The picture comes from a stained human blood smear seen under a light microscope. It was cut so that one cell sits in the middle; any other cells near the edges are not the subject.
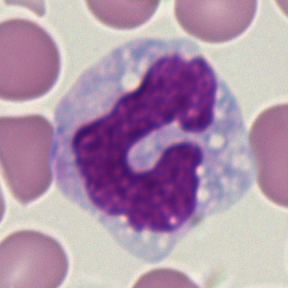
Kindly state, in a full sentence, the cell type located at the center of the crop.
The centered cell in this crop is a monocyte.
